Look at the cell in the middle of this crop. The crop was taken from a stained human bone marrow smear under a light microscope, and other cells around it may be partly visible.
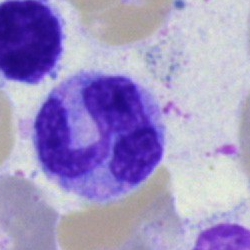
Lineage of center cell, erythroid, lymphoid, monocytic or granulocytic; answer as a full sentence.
The middle cell of the crop arises from the monocytic lineage.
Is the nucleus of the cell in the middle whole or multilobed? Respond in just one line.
The nucleus is segmented, with two or more lobes present.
